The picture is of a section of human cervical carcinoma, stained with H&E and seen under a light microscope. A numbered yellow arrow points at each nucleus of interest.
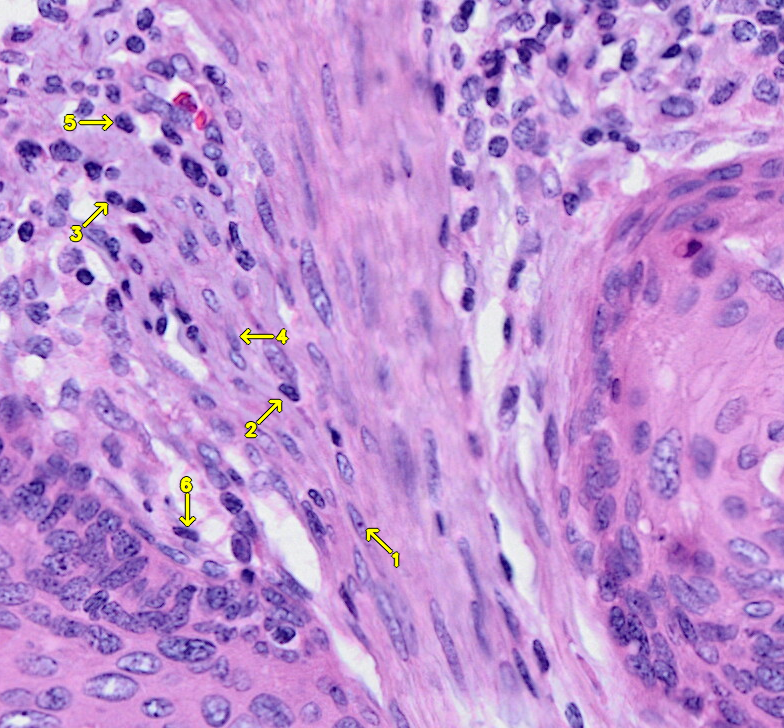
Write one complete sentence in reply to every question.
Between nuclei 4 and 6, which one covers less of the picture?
It is nucleus 4; nucleus 6 has about 1.5 times its area.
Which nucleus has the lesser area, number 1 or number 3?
The smaller nucleus is 3, and 1 covers roughly 1.5 times its area.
